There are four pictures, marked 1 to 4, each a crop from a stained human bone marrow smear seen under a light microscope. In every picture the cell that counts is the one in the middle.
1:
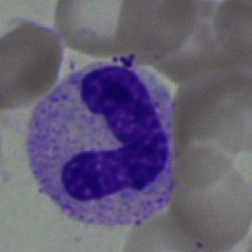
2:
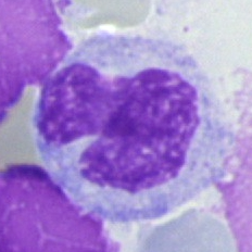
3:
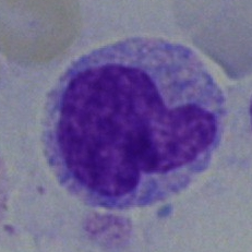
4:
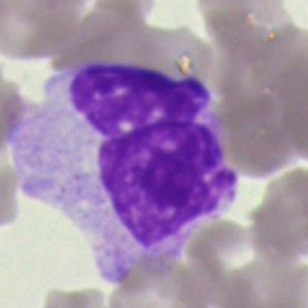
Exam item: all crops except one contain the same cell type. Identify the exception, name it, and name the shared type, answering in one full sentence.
Crop 1 is the odd one out, being a band neutrophil, while all the other crops show monocytes.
